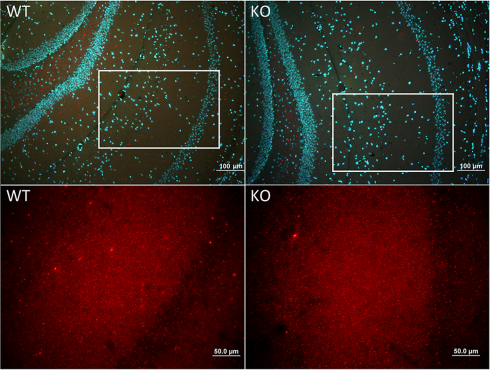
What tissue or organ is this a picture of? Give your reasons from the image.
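Curved, densely packed bands of nuclei form sharp cell layers. Two such curved bands run roughly parallel, with a sparsely nucleated zone between them.
Conclusion: hippocampus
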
